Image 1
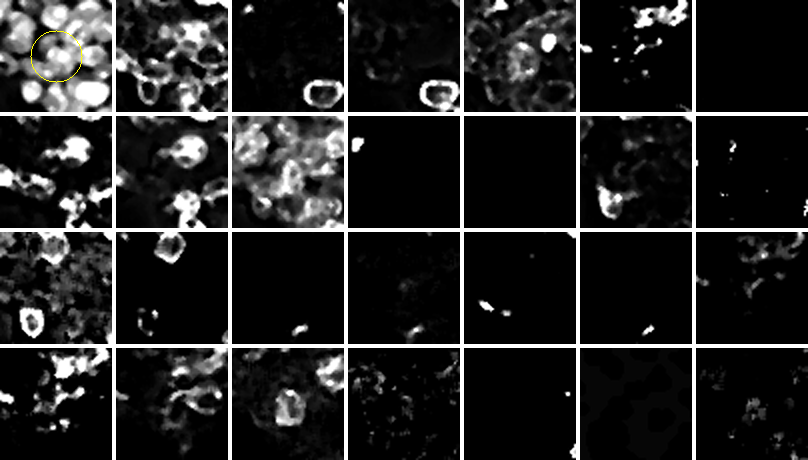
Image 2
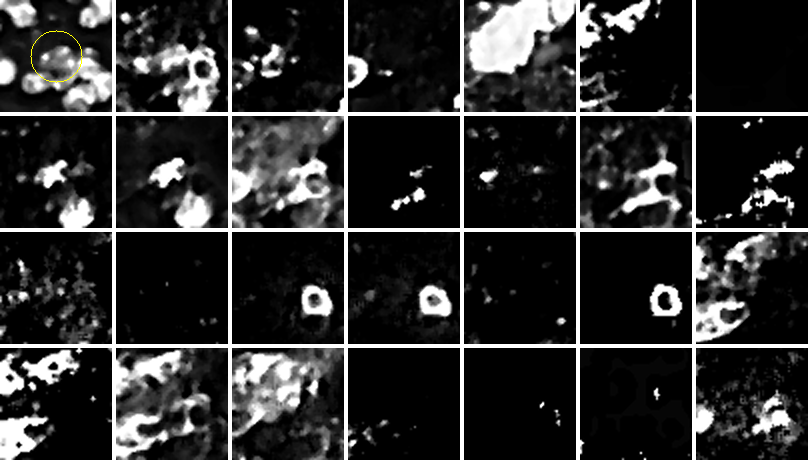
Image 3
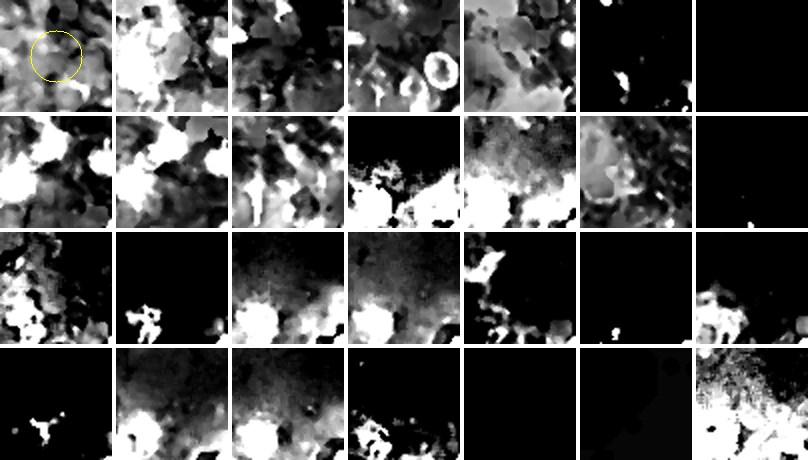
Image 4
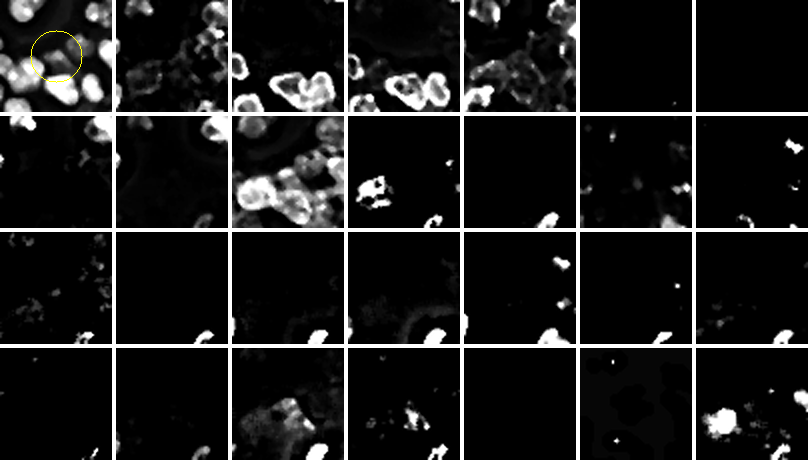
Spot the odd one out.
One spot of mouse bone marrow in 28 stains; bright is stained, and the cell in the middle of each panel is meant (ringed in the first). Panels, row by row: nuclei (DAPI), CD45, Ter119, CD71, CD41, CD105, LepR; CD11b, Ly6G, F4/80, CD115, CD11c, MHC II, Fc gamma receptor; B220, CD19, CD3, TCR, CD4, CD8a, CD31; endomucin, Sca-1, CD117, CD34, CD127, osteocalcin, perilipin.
Picture 4 (a megakaryocyte-erythroid progenitor among megakaryocyte progenitors).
